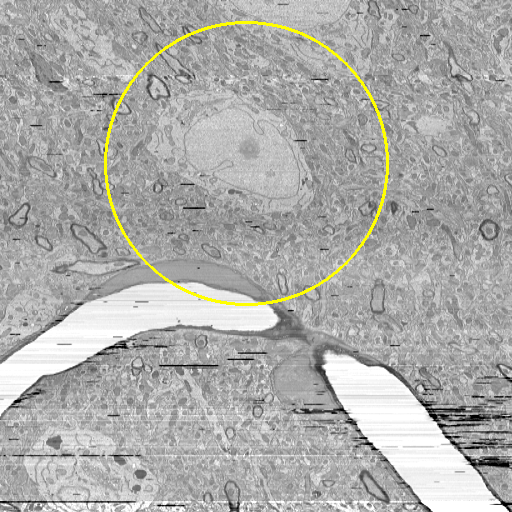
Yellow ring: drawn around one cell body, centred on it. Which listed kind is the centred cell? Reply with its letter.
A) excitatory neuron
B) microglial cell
A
